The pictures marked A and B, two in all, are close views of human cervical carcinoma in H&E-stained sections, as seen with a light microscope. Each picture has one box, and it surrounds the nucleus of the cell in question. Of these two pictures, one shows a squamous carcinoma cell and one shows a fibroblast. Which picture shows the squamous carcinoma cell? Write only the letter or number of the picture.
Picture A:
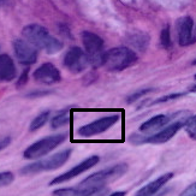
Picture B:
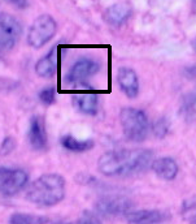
B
